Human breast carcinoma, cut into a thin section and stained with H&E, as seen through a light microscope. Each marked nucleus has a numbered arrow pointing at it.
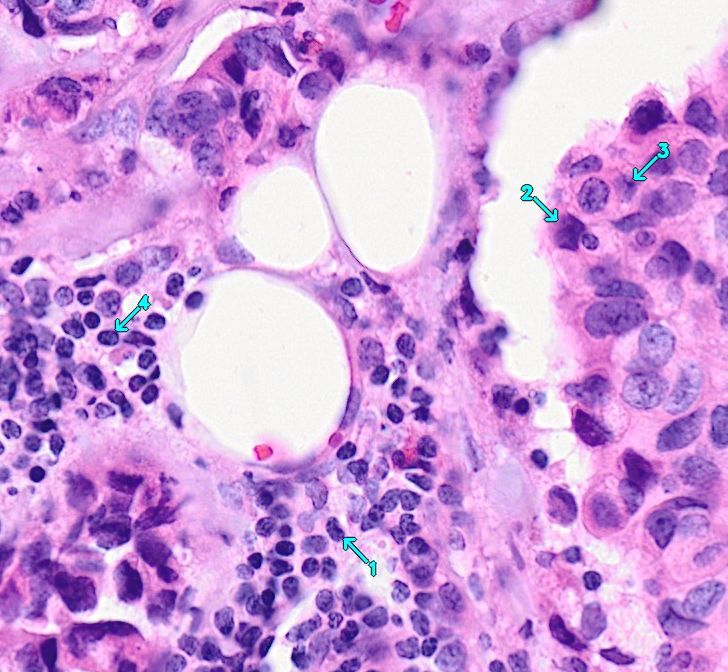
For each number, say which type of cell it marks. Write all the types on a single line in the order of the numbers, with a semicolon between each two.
lymphocyte; carcinoma cell; carcinoma cell; lymphocyte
